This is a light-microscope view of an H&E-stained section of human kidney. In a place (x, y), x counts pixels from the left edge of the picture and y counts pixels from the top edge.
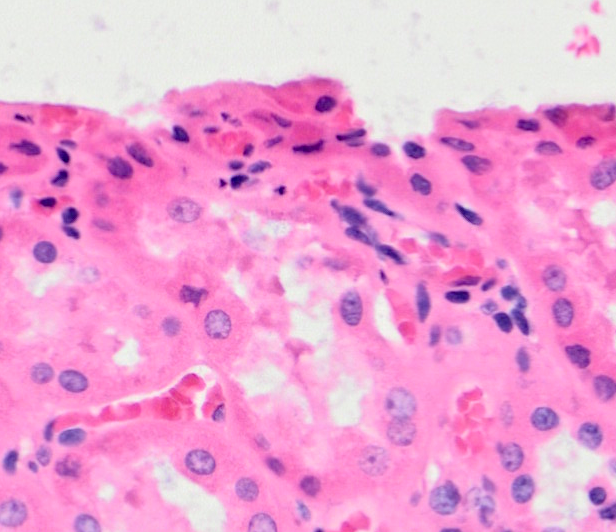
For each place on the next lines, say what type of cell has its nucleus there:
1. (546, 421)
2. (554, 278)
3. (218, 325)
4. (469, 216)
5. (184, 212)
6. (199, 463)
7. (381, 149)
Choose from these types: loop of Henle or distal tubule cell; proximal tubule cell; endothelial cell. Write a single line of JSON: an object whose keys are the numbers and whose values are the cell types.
{"1": "loop of Henle or distal tubule cell", "2": "proximal tubule cell", "3": "proximal tubule cell", "4": "endothelial cell", "5": "proximal tubule cell", "6": "proximal tubule cell", "7": "loop of Henle or distal tubule cell"}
